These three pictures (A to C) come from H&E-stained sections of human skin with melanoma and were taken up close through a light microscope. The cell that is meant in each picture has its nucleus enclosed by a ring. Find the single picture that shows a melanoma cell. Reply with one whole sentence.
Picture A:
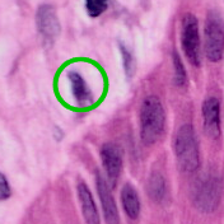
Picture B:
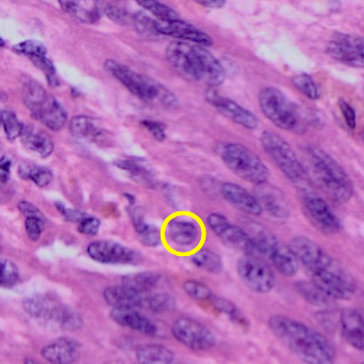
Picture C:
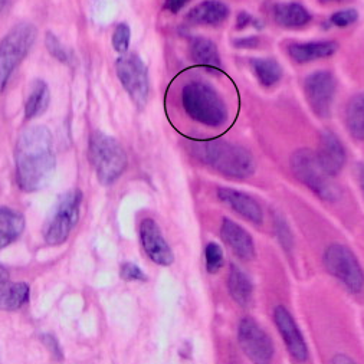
The cell in picture B is the melanoma cell.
